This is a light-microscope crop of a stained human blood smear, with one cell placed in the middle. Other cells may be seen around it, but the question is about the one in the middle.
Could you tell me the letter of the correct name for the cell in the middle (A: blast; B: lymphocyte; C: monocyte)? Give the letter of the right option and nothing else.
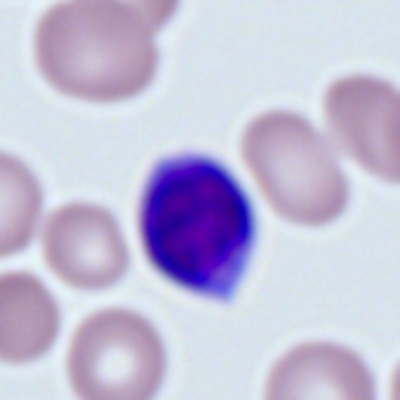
B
